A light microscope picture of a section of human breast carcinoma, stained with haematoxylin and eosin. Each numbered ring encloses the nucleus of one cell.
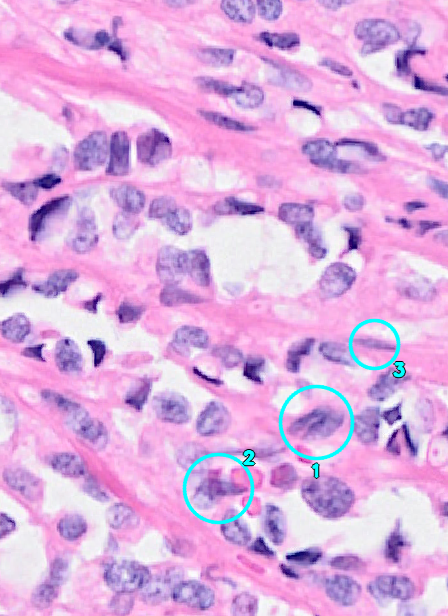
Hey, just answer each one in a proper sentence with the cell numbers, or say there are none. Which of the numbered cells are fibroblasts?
The nucleus numbered 3 is the only one that belongs to a fibroblast.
